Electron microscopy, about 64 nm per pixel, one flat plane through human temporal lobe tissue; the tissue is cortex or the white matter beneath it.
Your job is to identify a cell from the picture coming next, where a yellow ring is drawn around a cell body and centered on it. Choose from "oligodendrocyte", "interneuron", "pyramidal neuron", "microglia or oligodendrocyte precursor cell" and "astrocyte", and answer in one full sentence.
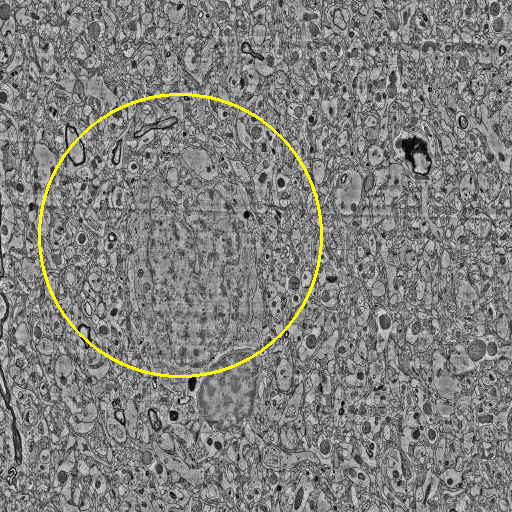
Centered in the yellow ring of the picture is the body of an interneuron.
